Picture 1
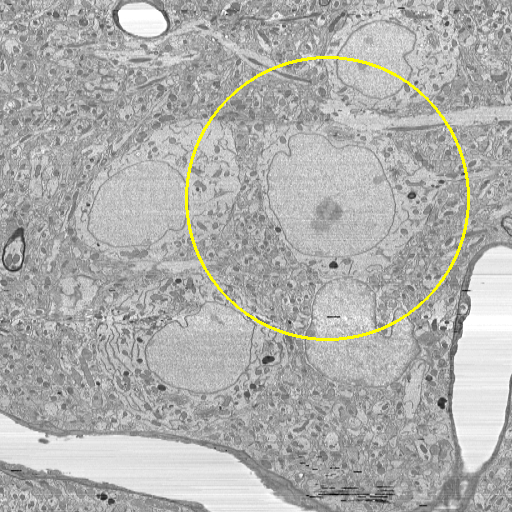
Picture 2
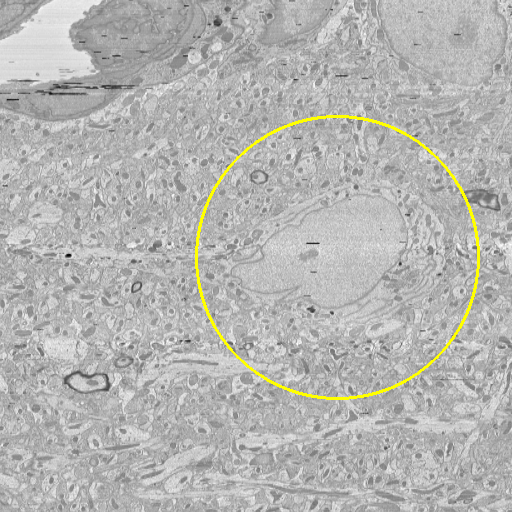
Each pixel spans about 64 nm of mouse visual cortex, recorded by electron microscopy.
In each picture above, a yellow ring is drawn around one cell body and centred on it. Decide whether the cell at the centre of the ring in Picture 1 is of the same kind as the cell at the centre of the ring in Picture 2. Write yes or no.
no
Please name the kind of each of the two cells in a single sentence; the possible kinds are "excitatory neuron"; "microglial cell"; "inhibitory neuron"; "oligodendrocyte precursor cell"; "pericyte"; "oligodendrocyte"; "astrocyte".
In the first picture the ring is centred on an excitatory neuron, and in the second on an inhibitory neuron.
